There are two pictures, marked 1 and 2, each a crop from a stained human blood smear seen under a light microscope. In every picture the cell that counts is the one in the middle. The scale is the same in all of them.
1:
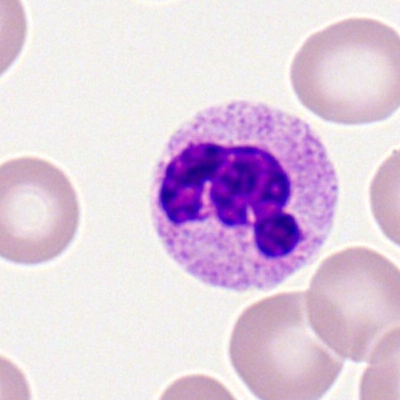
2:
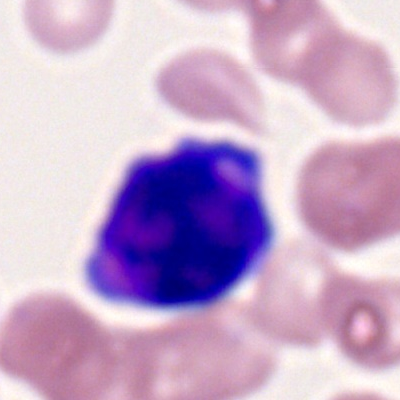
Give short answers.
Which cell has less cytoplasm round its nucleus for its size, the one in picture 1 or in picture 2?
2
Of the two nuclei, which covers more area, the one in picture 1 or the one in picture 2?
2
